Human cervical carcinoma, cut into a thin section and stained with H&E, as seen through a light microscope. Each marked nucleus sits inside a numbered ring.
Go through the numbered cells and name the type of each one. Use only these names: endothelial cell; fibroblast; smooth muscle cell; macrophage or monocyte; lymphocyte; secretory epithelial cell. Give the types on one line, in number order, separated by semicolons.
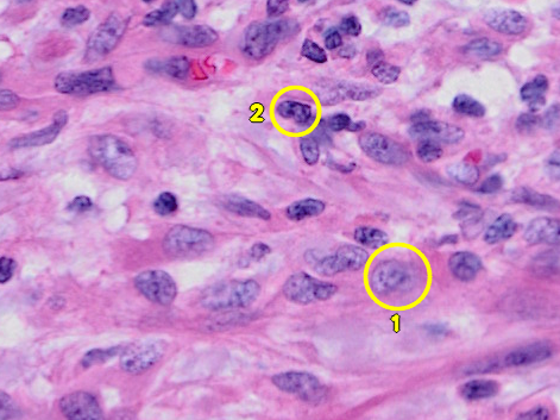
endothelial cell; lymphocyte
